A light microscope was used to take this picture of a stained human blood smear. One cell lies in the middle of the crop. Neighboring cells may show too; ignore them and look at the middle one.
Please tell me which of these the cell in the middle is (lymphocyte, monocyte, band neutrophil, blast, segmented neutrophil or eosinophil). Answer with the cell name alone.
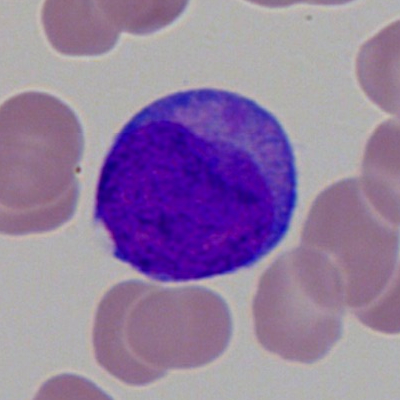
blast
